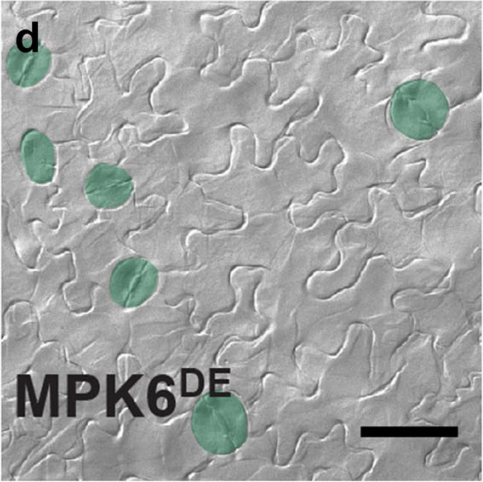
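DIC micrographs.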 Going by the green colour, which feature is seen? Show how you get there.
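Small oval units coloured green are scattered among lobed epidermal cells. Each green oval shows a central slit between two halves.
Conclusion: stomata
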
